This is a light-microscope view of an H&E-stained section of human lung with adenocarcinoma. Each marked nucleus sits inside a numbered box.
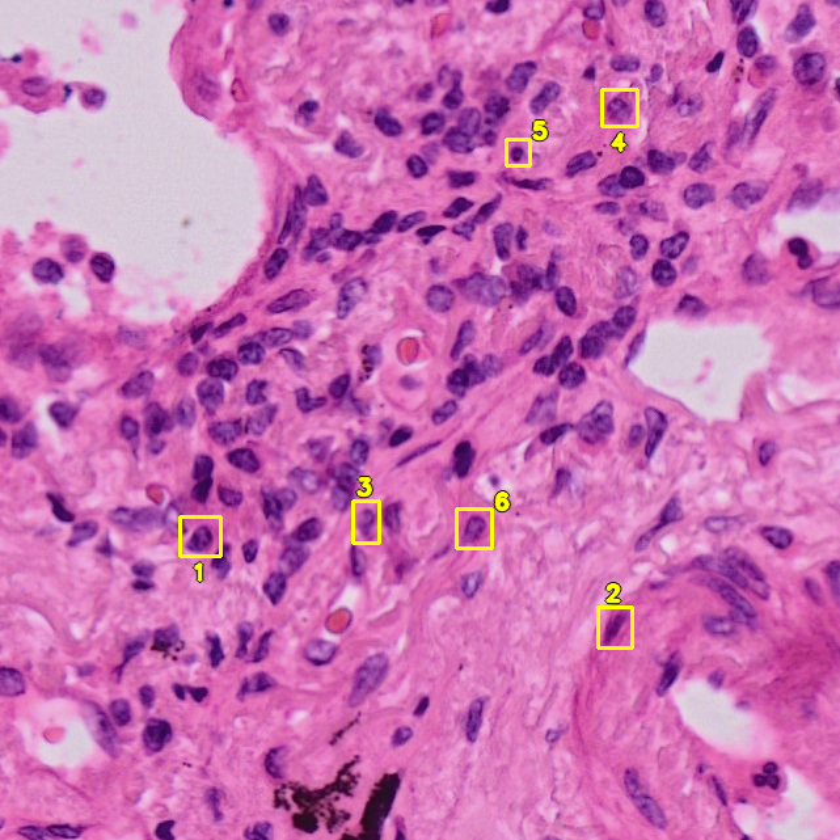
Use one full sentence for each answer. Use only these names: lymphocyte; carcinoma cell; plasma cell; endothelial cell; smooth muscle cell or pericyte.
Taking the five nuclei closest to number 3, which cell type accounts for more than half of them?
Plasma cells account for more than half of the five nuclei nearest to number 3.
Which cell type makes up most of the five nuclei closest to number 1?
Lymphocytes make up most of the five nuclei closest to number 1.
